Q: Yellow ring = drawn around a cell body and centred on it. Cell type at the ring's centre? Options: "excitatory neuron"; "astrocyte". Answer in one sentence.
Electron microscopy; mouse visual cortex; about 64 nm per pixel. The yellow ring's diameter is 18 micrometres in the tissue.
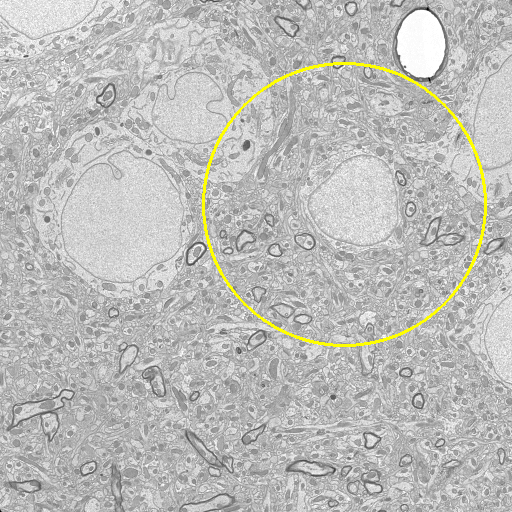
Centred in the ring is an astrocyte.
